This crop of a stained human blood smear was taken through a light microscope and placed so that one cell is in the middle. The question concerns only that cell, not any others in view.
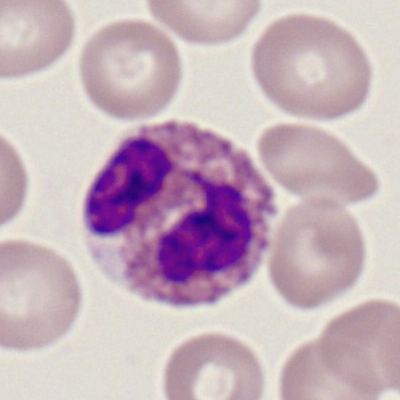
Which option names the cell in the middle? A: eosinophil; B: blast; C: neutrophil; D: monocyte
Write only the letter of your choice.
A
